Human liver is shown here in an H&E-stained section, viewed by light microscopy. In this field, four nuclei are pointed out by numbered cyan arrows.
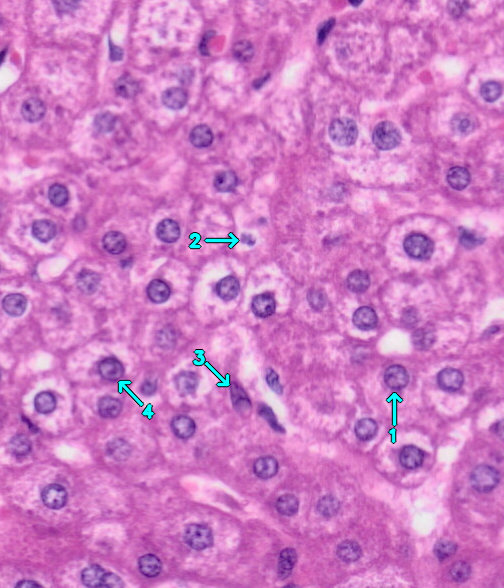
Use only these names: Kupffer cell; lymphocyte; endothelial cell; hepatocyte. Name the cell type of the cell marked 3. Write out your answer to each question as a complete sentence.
What the number 3 marks in this field is a Kupffer cell.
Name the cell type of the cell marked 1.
In this section, the cell tagged 1 is a hepatocyte.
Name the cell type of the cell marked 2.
Cell 2, among those numbered, is a lymphocyte.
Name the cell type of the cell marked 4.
Identified by the number 4, the cell is a hepatocyte.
